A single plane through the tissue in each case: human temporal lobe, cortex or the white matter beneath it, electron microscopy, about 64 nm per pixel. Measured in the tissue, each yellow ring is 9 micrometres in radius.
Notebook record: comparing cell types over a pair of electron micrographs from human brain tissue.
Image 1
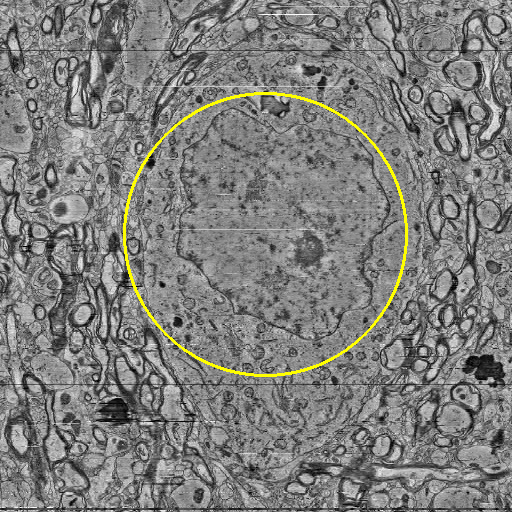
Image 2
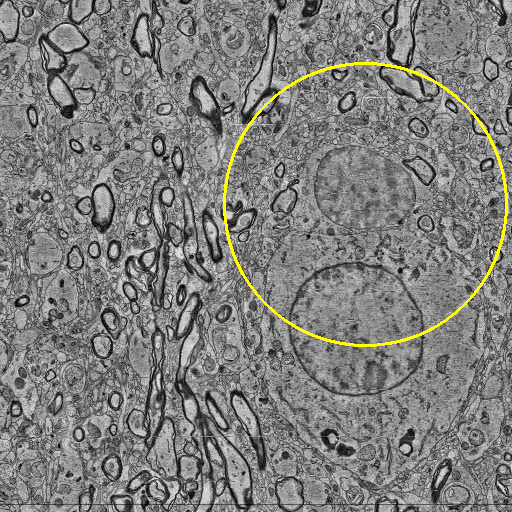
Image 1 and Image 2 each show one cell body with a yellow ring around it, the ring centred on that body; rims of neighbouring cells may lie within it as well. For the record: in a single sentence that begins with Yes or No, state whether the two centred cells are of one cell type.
No, two cell types are found among the centred cells of Image 1 and Image 2.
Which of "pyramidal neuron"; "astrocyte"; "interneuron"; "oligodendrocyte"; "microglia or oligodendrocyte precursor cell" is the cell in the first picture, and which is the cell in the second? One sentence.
The two differ: the first cell is a pyramidal neuron and the second is an oligodendrocyte.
